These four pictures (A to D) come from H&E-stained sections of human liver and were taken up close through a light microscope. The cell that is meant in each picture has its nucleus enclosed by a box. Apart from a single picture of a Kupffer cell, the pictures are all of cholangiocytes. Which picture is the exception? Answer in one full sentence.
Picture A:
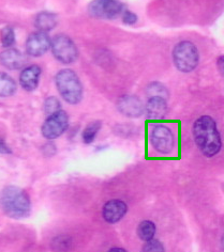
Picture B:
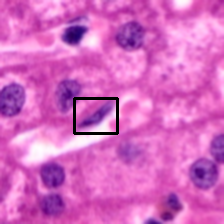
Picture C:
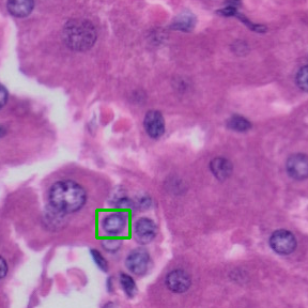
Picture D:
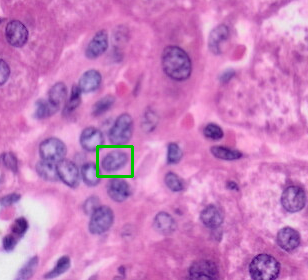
It is picture B that shows the Kupffer cell.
